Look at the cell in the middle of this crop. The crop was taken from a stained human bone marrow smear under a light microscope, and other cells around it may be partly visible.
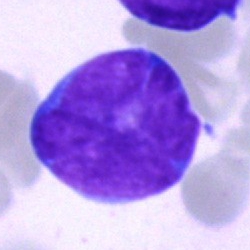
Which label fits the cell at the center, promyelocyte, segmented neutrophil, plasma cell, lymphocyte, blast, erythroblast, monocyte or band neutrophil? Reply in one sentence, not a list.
The centrally located cell in the crop is a blast.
